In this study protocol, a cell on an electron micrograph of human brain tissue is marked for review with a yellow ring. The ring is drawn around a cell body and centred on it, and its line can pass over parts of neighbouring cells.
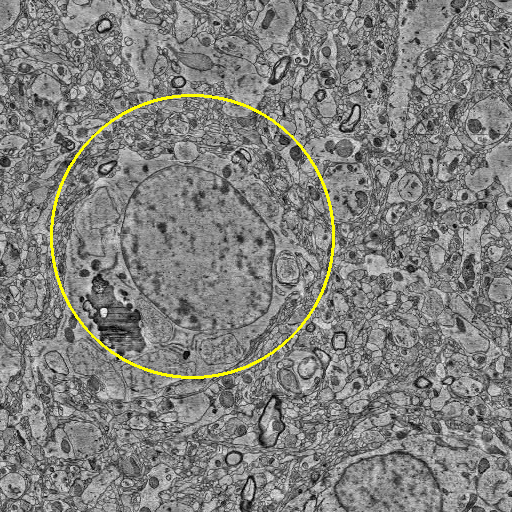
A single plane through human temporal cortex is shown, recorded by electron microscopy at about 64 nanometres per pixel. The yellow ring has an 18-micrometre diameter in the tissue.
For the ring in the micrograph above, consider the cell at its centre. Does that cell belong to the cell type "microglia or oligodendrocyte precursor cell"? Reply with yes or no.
no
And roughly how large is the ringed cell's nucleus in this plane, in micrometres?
The nucleus of the ringed cell is approximately 12 by 9 micrometres in this plane.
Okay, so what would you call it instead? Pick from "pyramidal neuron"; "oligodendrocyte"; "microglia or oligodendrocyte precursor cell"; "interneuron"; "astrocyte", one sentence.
The ring holds an astrocyte at its centre.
